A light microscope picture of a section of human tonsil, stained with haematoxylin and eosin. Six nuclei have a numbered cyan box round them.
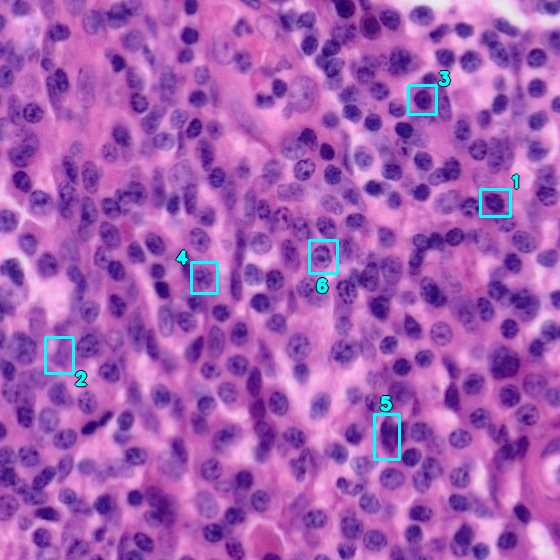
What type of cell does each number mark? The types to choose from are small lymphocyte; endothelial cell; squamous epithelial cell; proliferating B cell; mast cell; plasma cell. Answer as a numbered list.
1. plasma cell
2. squamous epithelial cell
3. plasma cell
4. plasma cell
5. squamous epithelial cell
6. plasma cell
